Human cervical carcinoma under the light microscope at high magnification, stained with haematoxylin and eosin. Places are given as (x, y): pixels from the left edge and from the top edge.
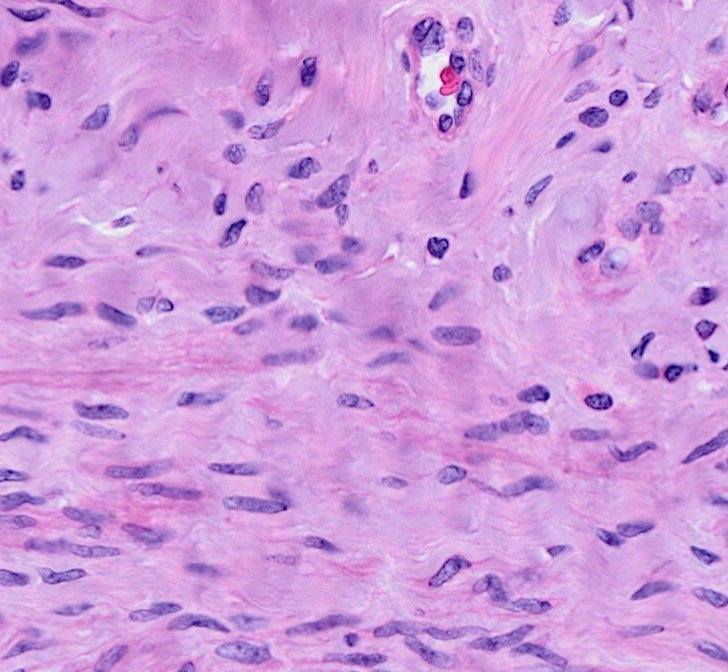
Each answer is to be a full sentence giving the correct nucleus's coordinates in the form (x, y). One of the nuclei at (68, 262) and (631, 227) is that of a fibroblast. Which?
The nucleus at (68, 262) is identified as belonging to a fibroblast.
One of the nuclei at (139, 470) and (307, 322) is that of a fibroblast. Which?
Of the two nuclei, the one sitting at (307, 322) belongs to a fibroblast.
